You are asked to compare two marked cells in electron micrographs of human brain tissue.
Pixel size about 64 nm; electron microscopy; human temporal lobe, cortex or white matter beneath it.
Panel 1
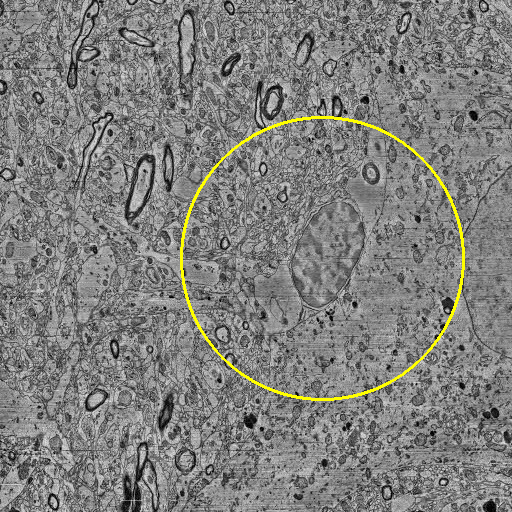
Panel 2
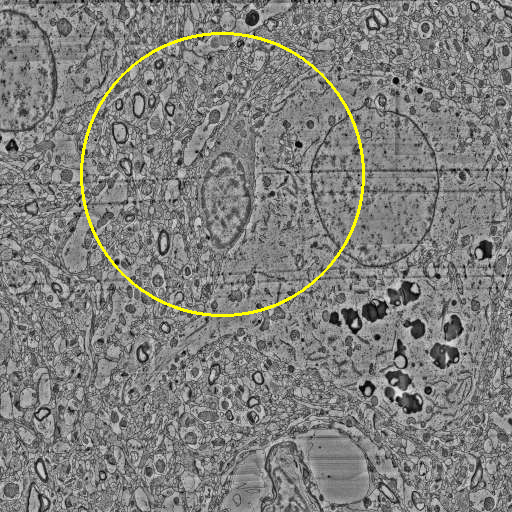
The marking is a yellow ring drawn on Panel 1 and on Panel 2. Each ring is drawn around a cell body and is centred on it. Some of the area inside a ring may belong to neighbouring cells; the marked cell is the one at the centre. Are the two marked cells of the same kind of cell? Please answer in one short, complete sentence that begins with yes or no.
No, the two marked cells are of two kinds.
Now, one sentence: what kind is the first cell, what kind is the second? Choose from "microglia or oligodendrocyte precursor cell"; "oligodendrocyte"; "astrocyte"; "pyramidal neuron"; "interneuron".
The first picture has a microglial cell or oligodendrocyte precursor cell at its ring centre, and the second has an oligodendrocyte.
